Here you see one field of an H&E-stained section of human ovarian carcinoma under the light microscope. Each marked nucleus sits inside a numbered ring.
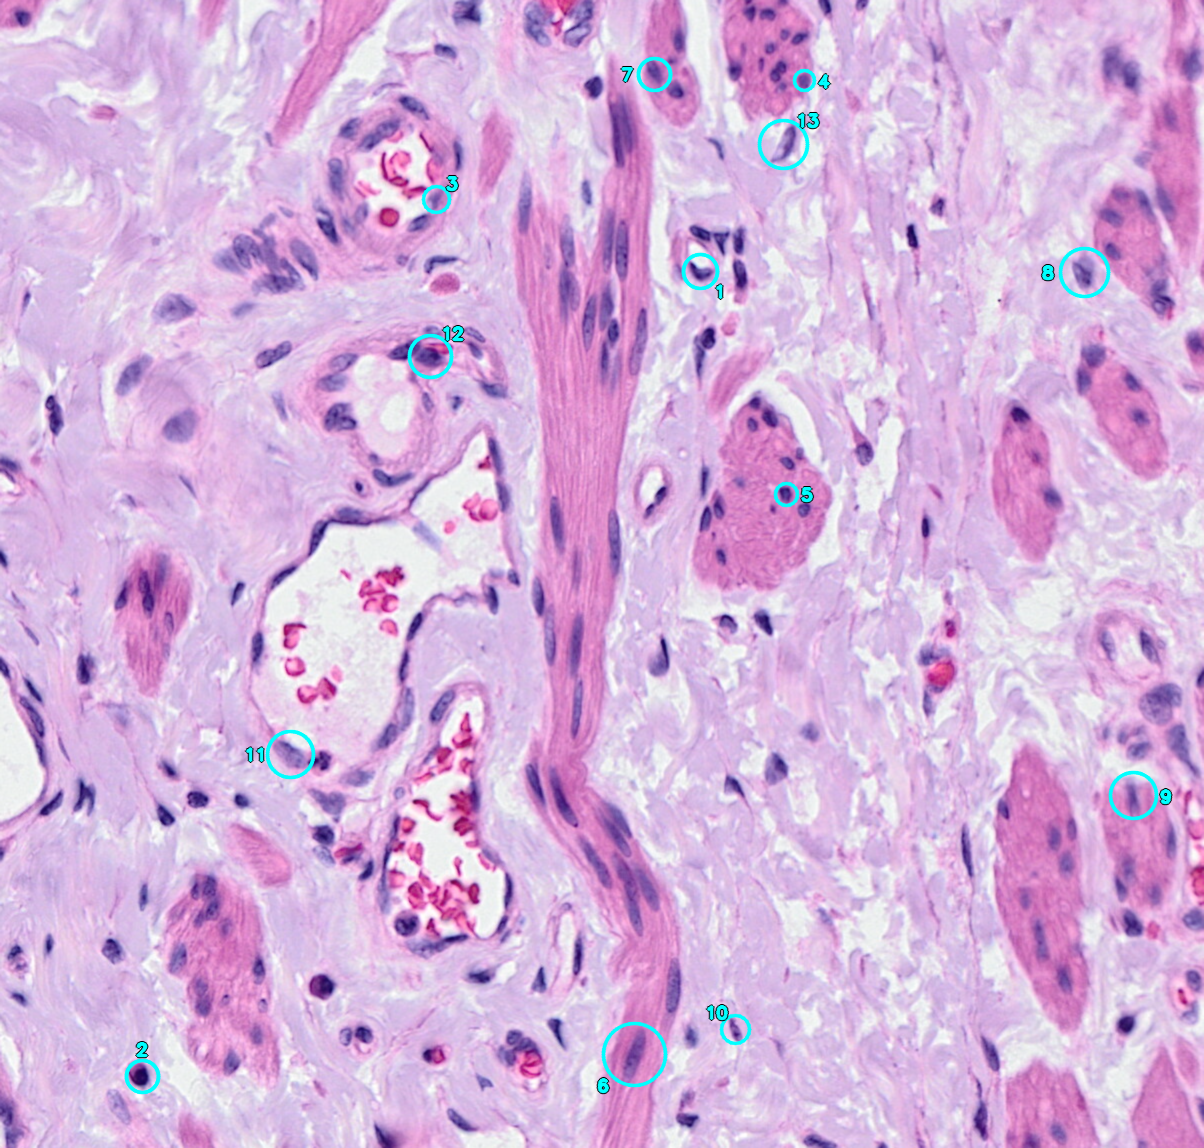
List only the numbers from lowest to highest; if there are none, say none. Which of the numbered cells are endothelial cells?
1, 3, 11, 12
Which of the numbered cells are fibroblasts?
8, 10, 13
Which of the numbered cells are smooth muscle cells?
4, 5, 6, 7, 9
